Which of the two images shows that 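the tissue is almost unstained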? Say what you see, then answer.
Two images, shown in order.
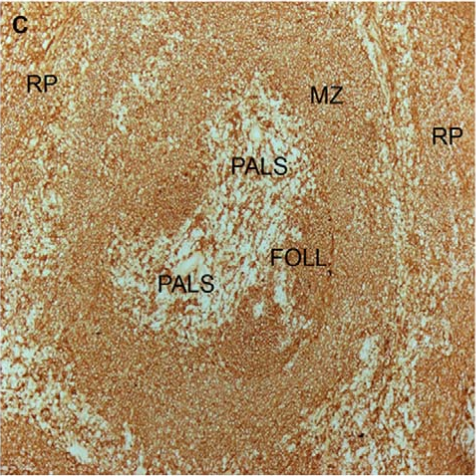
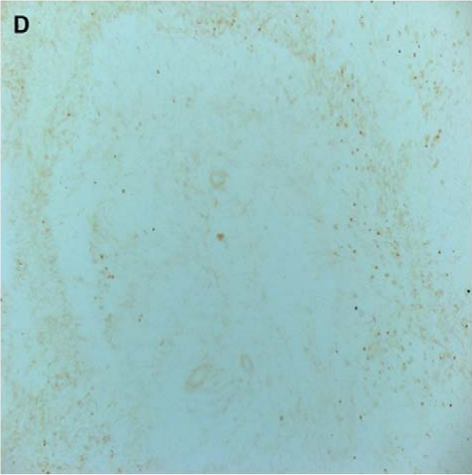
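Second image: only faint scattered brown specks on a pale background. First image: dense brown staining across most of the tissue, with pale central areas. The answer: the second image.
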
